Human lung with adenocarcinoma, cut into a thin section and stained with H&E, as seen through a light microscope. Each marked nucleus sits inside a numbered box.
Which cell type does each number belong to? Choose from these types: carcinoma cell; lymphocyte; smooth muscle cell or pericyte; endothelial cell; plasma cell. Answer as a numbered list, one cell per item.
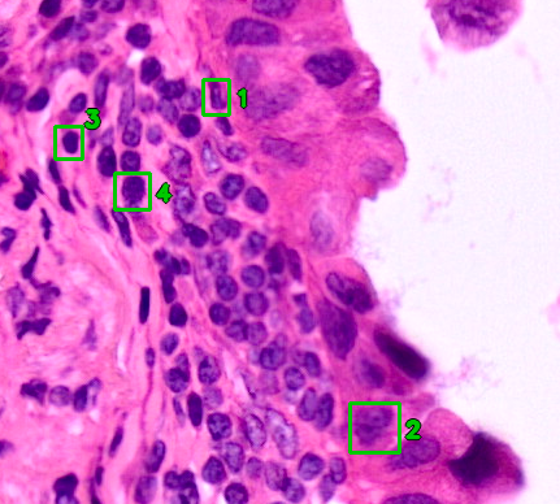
1. lymphocyte
2. carcinoma cell
3. lymphocyte
4. lymphocyte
